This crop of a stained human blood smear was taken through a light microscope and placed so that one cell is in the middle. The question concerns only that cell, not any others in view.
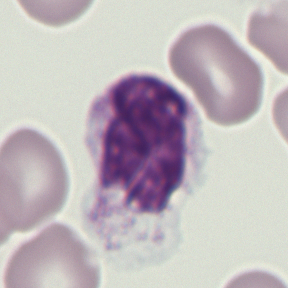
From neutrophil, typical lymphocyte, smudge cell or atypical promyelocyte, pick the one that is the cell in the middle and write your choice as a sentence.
Classification of the middle cell gives a neutrophil.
